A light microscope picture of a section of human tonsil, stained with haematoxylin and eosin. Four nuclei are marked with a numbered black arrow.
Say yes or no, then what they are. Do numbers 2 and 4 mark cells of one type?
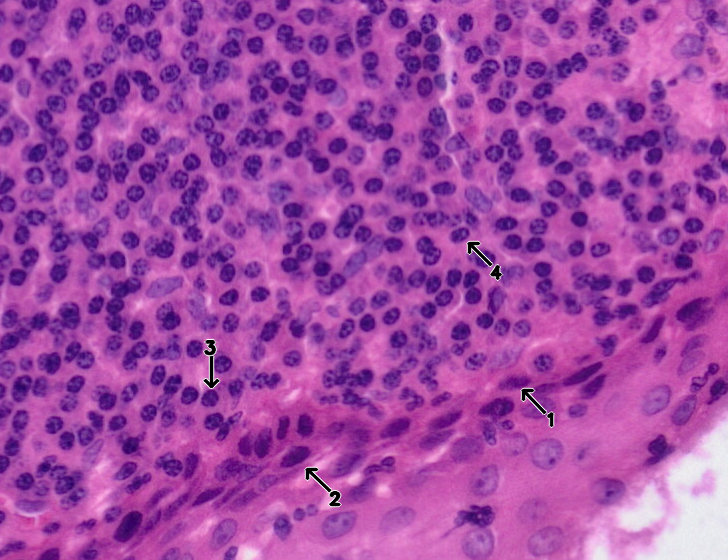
No, cell 2 is a squamous epithelial cell and cell 4 is a plasma cell.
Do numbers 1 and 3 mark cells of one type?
No, cell 1 is a squamous epithelial cell and cell 3 is a plasma cell.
